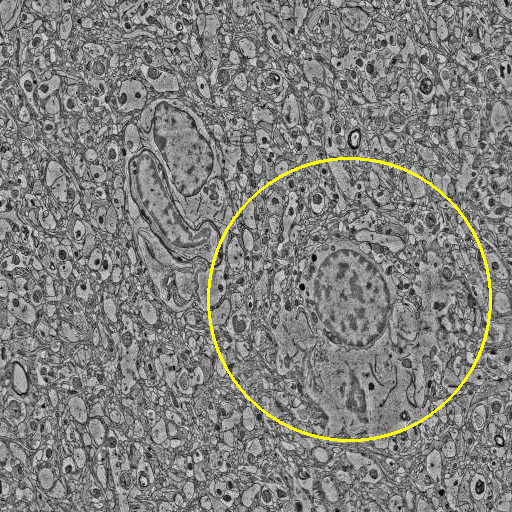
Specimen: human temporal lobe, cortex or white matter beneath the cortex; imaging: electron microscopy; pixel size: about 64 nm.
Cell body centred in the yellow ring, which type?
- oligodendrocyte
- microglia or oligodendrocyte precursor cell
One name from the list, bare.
oligodendrocyte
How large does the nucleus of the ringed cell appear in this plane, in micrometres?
In this plane, approximately 6 by 5 micrometers.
